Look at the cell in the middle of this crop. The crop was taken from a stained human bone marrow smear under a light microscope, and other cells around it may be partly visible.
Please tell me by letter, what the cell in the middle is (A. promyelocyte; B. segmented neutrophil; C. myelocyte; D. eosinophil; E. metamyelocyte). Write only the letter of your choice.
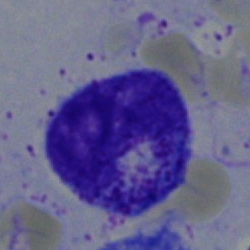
C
